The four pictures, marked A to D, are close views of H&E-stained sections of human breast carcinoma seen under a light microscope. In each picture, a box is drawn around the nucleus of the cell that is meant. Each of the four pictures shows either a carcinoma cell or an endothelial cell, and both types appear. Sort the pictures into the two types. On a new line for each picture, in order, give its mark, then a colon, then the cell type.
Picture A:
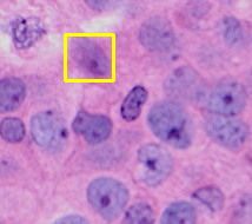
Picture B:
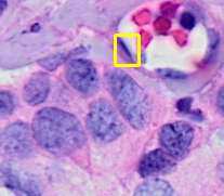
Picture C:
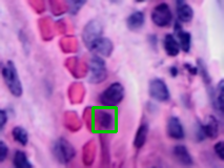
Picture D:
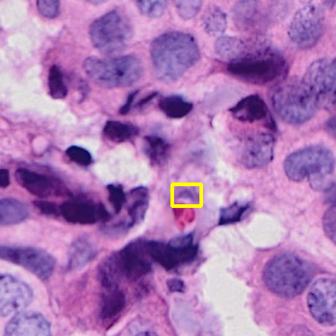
A: carcinoma cell
B: endothelial cell
C: endothelial cell
D: endothelial cell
